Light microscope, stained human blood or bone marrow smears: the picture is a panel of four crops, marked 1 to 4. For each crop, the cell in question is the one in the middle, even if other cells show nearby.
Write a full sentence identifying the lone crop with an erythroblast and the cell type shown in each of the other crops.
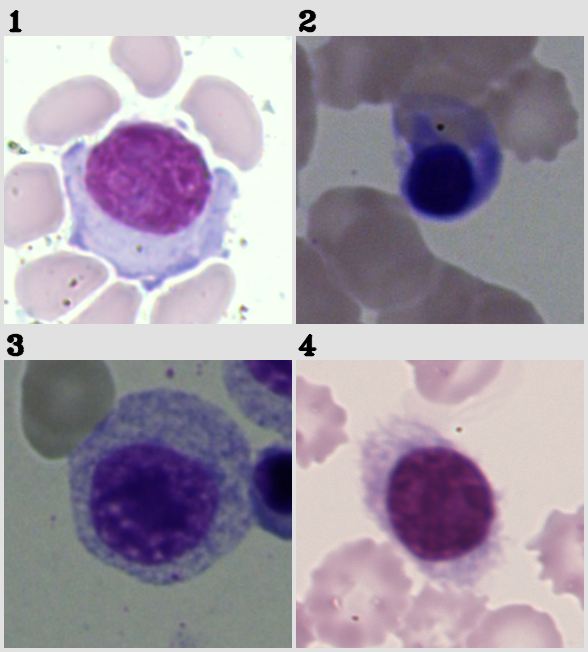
Crop 2 is showing an erythroblast, while crop 1 is a plasma cell, crop 3 is a myelocyte and crop 4 is a hairy cell.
